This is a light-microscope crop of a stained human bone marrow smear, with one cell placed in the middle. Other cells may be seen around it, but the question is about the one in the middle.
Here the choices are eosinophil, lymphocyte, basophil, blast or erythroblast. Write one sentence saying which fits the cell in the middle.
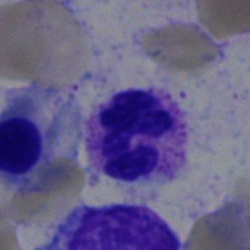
The cell nearest the centre of this crop is a basophil.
